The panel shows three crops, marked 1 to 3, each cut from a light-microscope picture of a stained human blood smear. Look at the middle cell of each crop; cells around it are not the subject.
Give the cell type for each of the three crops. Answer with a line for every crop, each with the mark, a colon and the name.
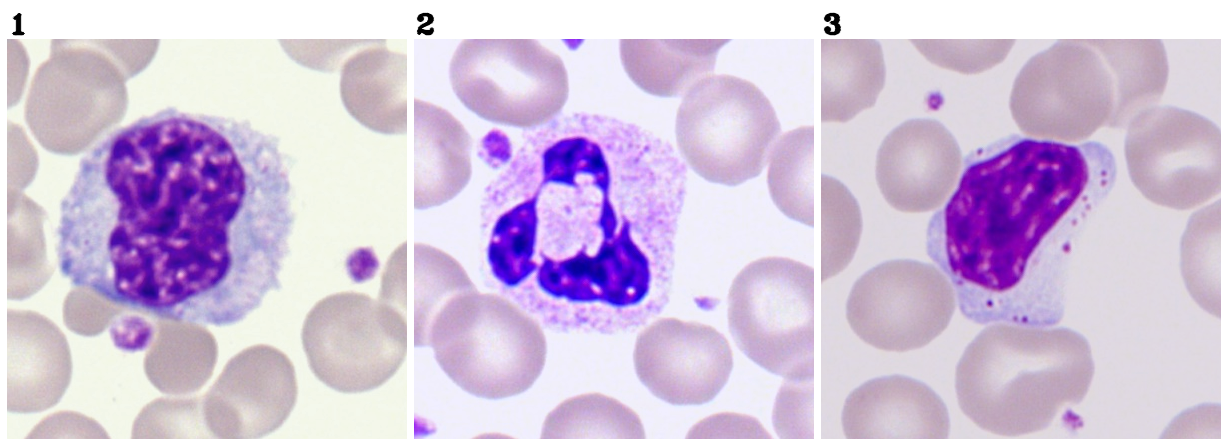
1: monocyte
2: neutrophil
3: lymphocyte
